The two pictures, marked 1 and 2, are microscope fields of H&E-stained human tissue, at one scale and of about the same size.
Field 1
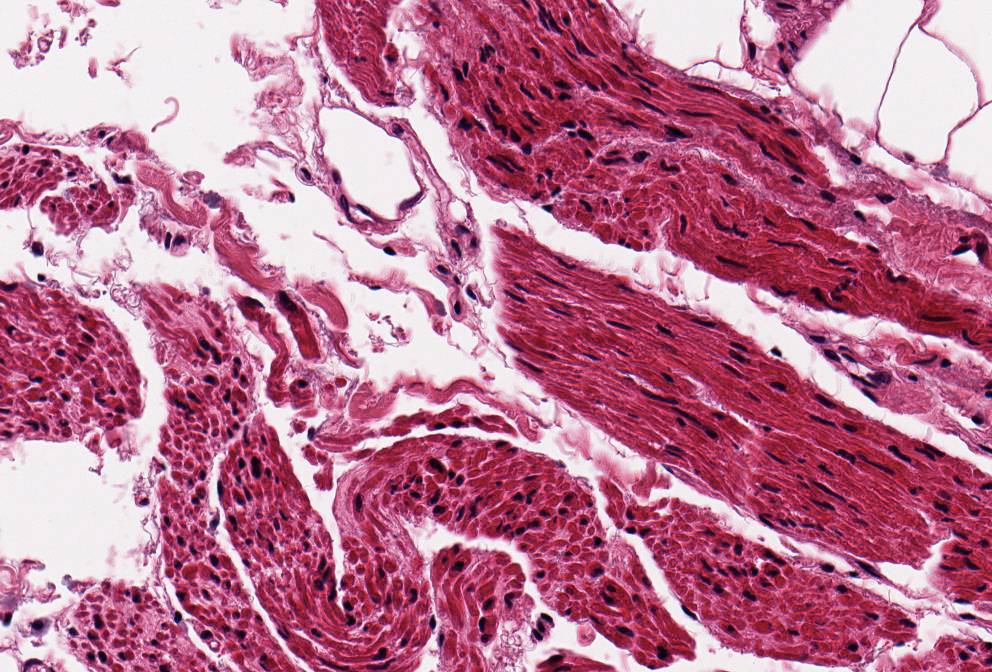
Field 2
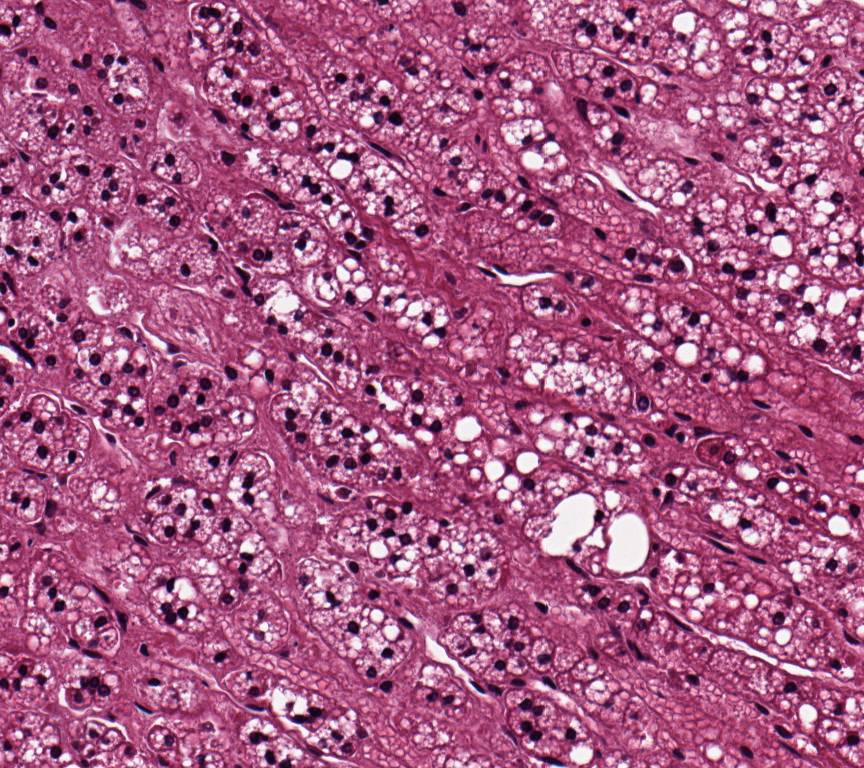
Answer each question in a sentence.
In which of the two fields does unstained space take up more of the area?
Field 1 has more white space.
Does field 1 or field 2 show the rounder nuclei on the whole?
Rounder nuclei lie in field 2.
